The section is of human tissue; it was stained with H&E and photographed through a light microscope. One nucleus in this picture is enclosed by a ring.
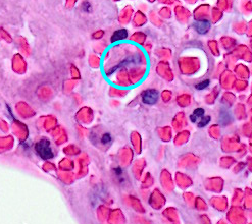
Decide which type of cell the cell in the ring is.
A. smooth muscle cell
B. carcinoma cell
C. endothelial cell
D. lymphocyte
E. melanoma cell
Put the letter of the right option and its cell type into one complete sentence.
The right pick is option C; the cell in the ring is an endothelial cell.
